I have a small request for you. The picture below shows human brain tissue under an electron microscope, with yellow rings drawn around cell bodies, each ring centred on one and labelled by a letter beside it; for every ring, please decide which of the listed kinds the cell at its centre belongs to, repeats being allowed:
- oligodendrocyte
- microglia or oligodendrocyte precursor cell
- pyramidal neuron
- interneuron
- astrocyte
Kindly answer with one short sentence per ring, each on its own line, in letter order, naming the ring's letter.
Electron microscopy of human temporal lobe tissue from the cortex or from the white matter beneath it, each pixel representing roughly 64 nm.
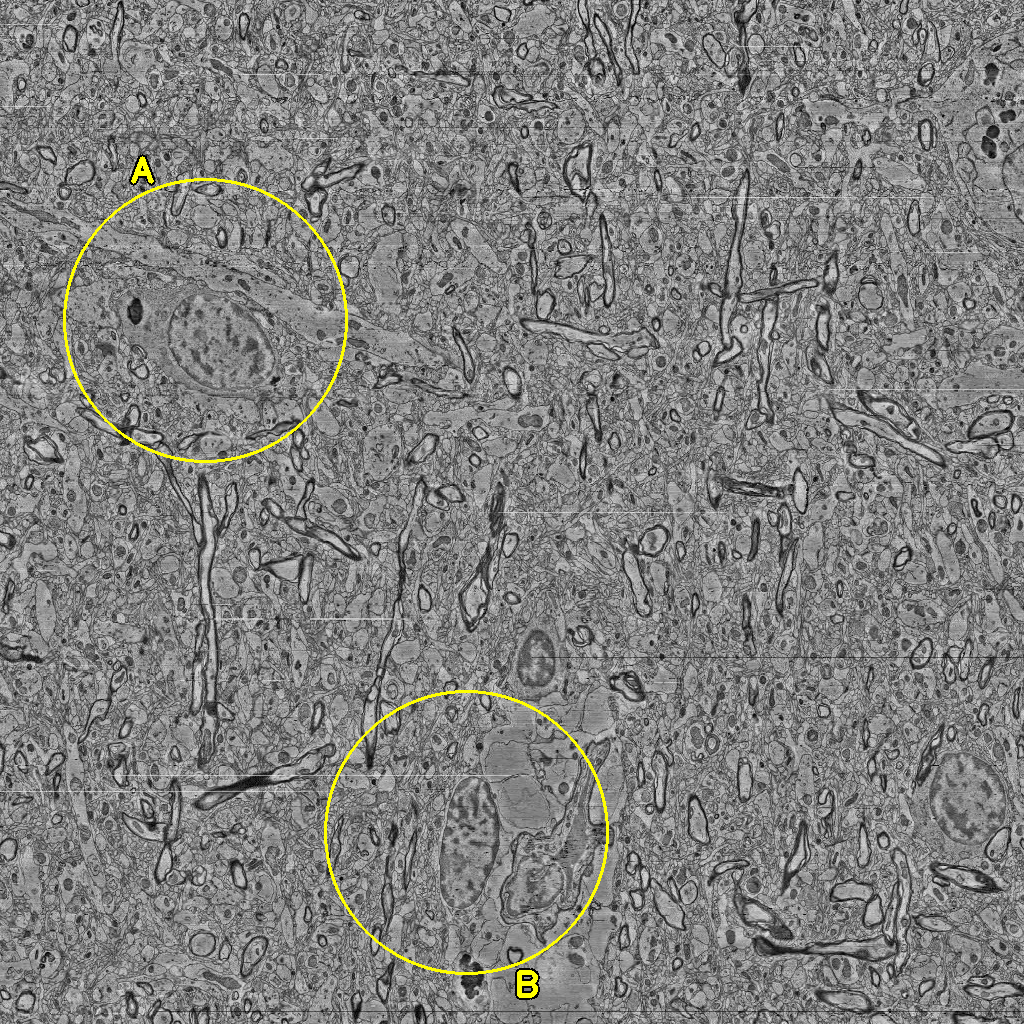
Ring A shows an oligodendrocyte at its centre.
Ring B shows a microglial cell or oligodendrocyte precursor cell at its centre.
